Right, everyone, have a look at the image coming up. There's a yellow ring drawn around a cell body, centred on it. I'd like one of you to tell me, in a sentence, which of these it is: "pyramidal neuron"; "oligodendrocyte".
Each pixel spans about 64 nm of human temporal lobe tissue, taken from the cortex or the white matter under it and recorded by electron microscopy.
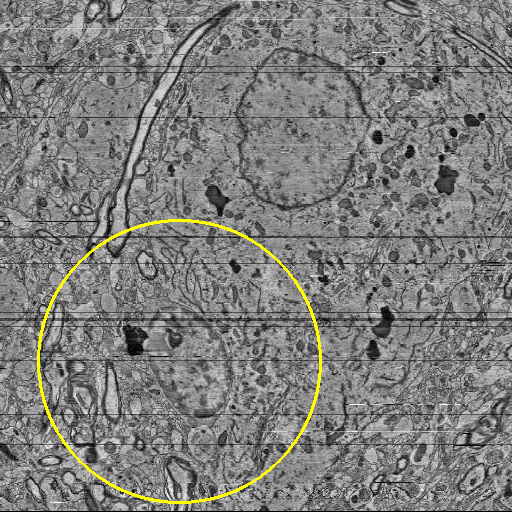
The yellow ring sits on an oligodendrocyte.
